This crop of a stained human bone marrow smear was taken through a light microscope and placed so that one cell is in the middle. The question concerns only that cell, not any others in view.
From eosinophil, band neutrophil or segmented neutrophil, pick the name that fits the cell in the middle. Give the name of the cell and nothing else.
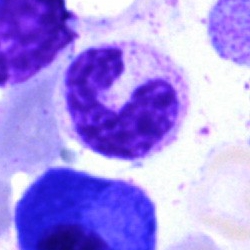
band neutrophil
